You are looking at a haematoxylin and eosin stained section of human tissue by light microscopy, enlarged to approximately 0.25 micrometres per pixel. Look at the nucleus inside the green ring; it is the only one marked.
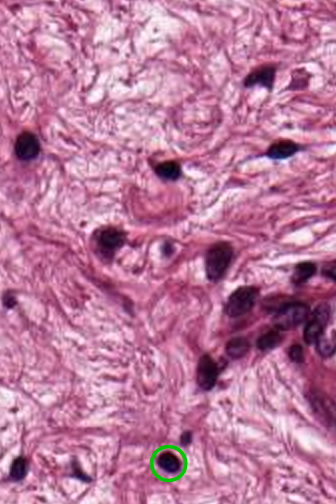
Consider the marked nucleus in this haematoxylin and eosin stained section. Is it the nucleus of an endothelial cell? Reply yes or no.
no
